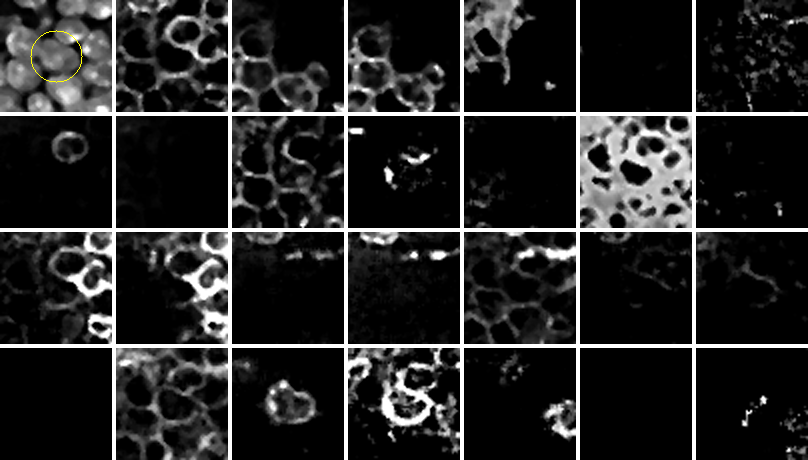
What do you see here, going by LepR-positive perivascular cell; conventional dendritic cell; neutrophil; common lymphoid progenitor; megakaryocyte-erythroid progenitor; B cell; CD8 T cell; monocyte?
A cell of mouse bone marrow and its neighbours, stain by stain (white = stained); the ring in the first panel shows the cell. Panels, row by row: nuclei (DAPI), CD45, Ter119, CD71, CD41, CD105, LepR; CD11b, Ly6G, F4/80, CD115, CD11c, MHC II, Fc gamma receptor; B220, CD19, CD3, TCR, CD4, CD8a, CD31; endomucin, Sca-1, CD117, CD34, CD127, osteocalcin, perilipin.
I see a megakaryocyte-erythroid progenitor.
